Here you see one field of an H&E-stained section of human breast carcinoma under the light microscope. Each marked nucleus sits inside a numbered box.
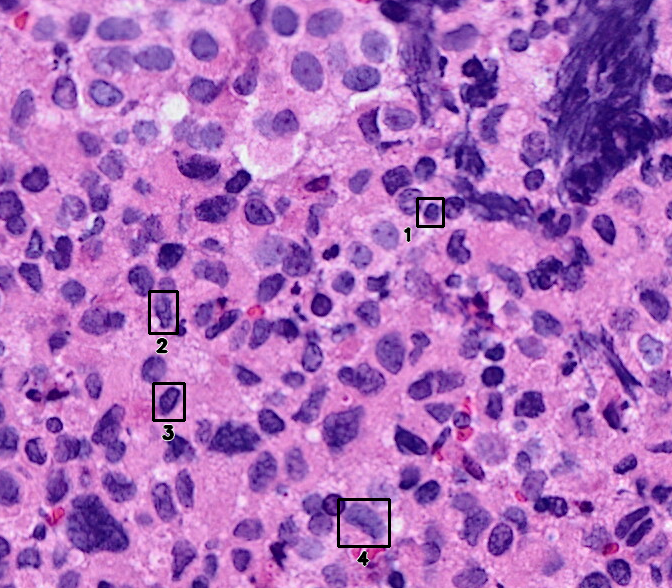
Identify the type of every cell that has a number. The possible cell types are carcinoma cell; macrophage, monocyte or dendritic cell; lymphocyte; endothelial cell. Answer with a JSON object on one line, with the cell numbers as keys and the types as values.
{"1": "lymphocyte", "2": "carcinoma cell", "3": "carcinoma cell", "4": "carcinoma cell"}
